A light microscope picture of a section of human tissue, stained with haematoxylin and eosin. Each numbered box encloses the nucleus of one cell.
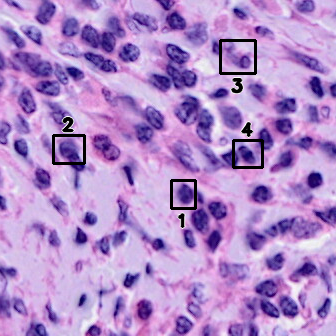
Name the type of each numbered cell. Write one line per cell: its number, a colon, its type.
1: lymphocyte
2: lymphocyte
3: macrophage or monocyte
4: lymphocyte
